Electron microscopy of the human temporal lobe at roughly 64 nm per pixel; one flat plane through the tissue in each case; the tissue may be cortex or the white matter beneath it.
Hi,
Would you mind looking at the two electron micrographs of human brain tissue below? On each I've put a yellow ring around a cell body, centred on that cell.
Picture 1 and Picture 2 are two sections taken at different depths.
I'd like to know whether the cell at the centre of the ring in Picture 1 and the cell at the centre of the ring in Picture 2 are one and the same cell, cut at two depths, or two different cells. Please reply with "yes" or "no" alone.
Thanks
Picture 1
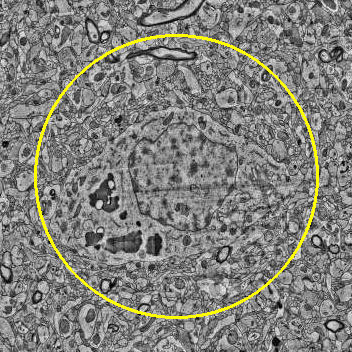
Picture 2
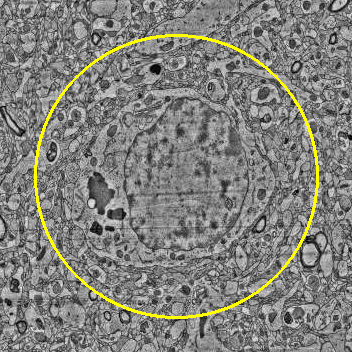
yes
